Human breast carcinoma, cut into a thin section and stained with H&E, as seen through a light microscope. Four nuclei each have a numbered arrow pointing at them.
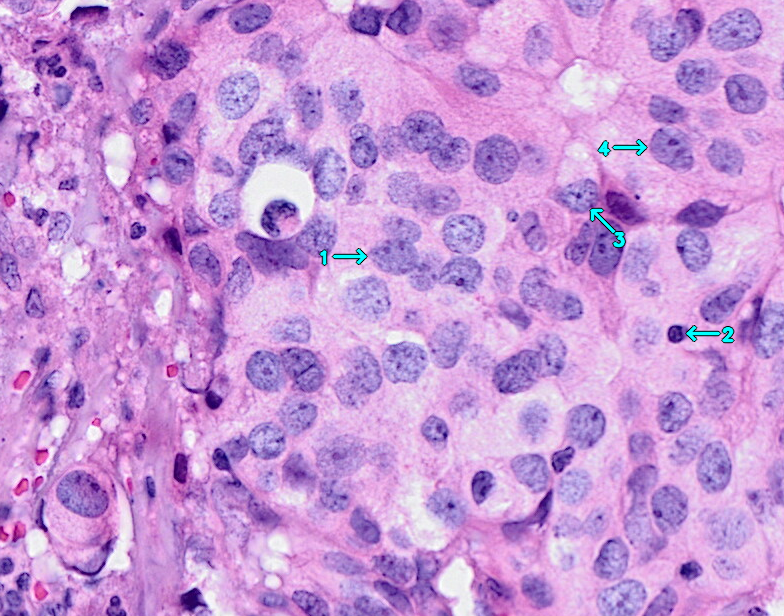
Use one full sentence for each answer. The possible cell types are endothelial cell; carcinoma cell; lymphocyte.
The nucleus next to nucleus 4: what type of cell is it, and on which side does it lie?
The closest nucleus belongs to a carcinoma cell and sits above nucleus 4.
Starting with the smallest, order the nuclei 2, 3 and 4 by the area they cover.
Smallest first, the nuclei run 2, 3, 4.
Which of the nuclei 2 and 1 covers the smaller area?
Nucleus 2 covers less area, with nucleus 1 about 3 times as large.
